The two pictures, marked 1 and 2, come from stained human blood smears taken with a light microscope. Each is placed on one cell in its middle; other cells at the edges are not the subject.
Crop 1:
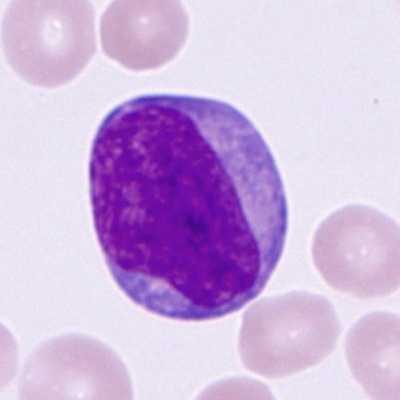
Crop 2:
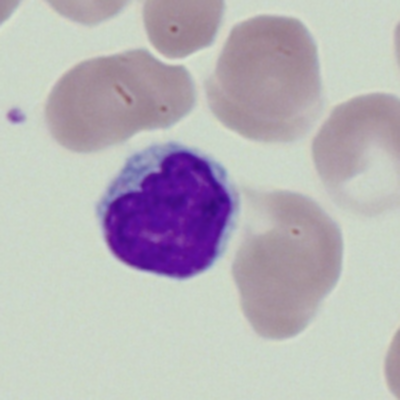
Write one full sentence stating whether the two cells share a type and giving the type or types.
No, a myeloblast and a lymphocyte are found in crop 1 and crop 2, respectively.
